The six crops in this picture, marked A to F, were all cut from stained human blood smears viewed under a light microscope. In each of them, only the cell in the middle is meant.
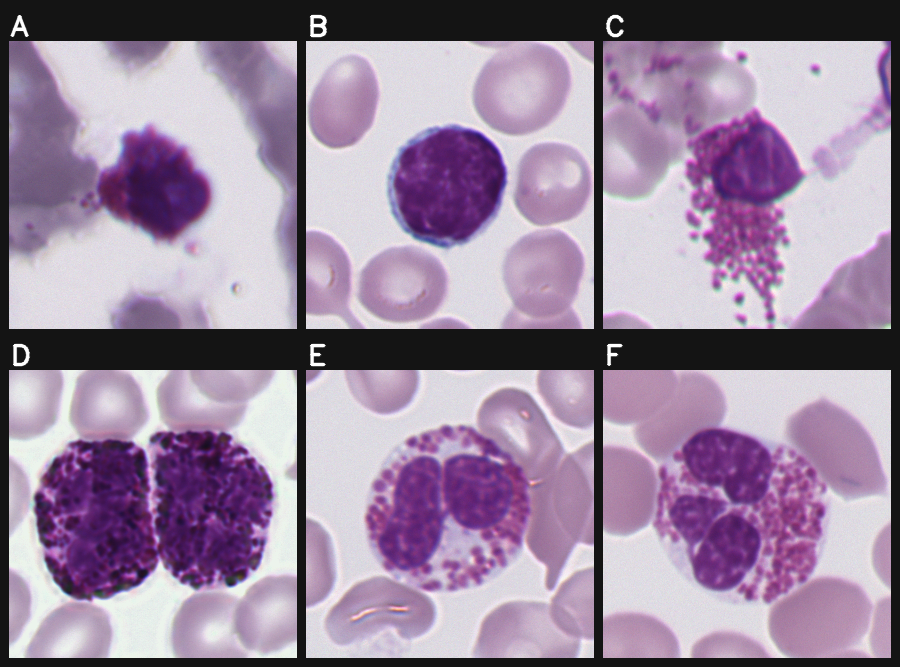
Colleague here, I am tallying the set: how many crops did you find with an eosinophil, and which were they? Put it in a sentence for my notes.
Seen in four crops, A, C, E and F, are eosinophils.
